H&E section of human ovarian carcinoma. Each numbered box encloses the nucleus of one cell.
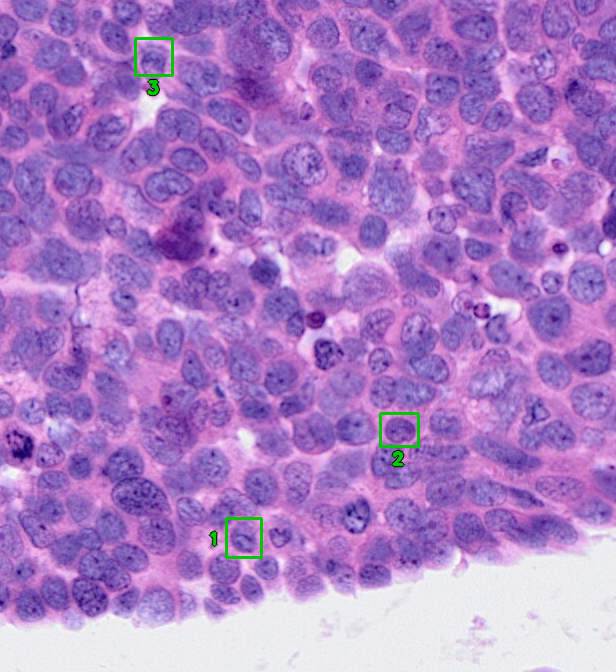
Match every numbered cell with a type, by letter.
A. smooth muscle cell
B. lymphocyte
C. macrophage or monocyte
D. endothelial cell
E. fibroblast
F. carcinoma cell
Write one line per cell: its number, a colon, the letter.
1: C
2: F
3: C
